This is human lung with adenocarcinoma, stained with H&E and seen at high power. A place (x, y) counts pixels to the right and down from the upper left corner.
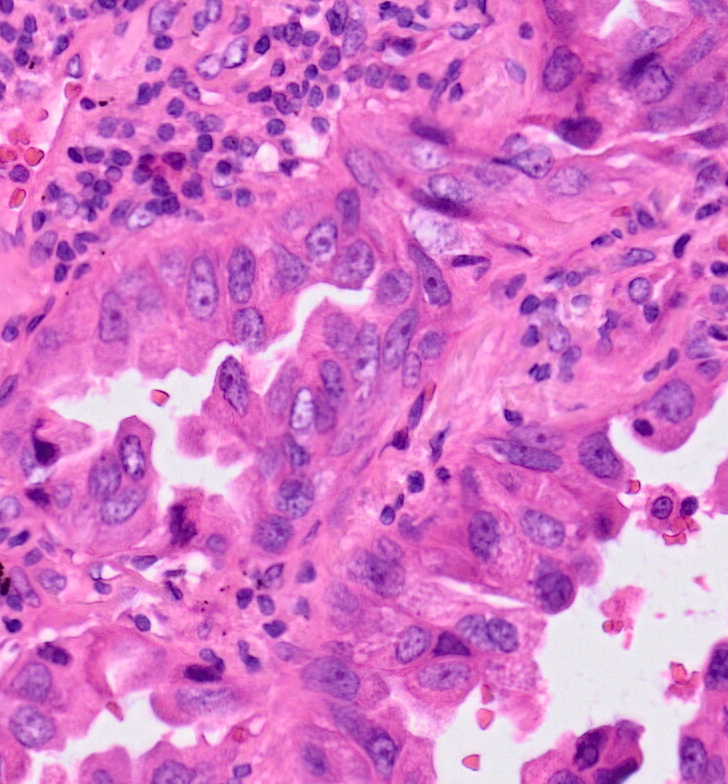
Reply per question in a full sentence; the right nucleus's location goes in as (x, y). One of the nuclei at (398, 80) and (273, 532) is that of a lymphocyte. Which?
At (398, 80) lies the nucleus that belongs to a lymphocyte.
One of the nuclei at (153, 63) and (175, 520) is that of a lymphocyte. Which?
Between the pair, the nucleus at (153, 63) belongs to a lymphocyte.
